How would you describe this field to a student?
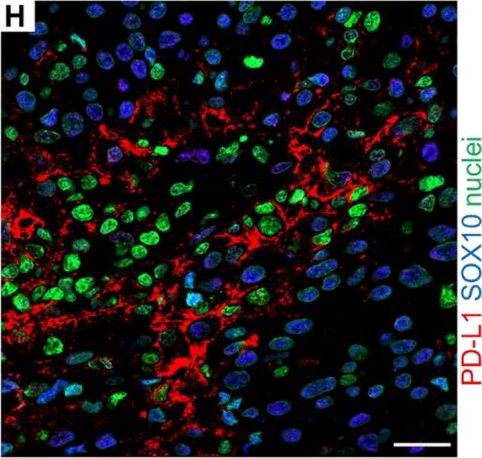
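Many larger oval nuclei appear blue to teal, while others are green only, several of them smaller and rounder. Between the nuclei runs an irregular, branching red signal that outlines cell borders and forms a lace-like network around groups of cells, concentrated in the left and central parts of the field.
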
